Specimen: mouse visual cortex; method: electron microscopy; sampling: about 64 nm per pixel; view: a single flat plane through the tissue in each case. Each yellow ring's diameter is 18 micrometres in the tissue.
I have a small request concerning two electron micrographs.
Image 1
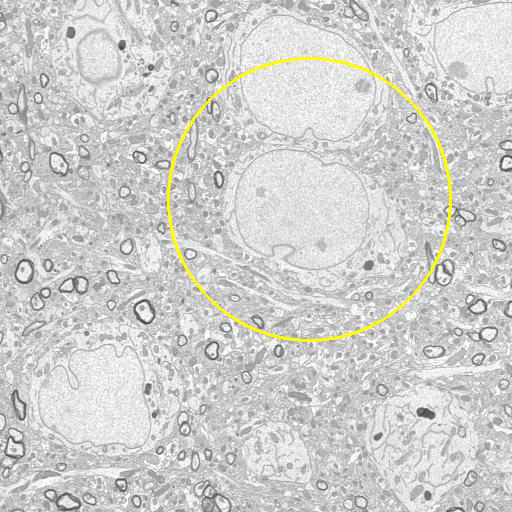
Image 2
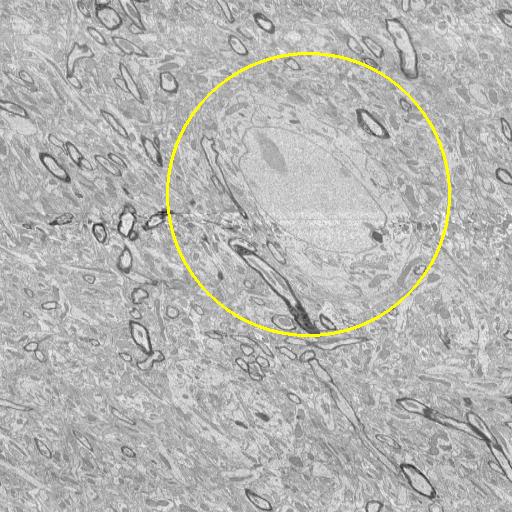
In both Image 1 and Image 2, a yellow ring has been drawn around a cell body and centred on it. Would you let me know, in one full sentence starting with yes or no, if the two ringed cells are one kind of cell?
Yes, the cells ringed in Image 1 and Image 2 are one kind of cell.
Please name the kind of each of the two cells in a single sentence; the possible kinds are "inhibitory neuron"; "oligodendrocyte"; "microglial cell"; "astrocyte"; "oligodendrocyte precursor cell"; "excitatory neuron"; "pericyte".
Each one of the two ringed cells is an excitatory neuron.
